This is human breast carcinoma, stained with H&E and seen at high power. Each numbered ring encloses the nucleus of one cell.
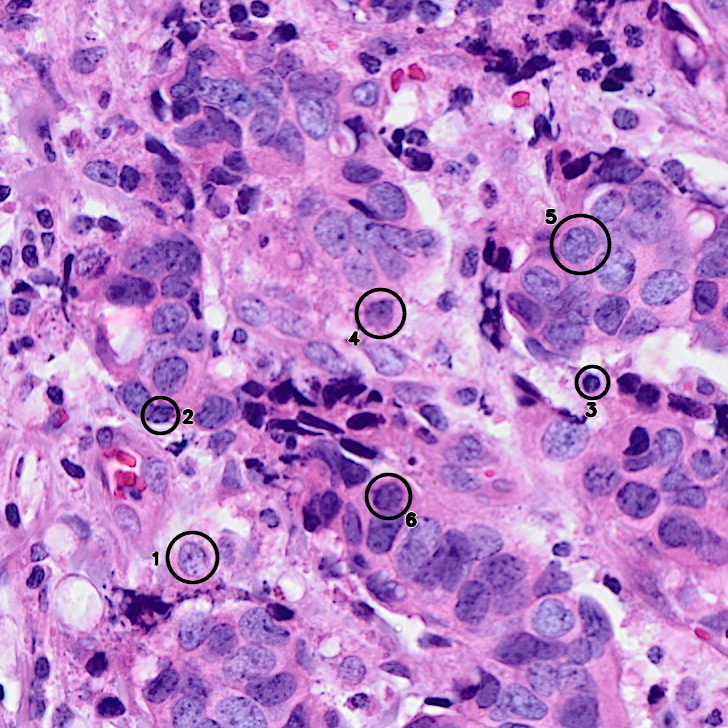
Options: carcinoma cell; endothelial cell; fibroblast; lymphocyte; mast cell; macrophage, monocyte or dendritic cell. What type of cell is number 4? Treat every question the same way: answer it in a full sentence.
Numbered cell 4 is a carcinoma cell in this tissue section.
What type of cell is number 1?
Belonging to a macrophage, monocyte or dendritic cell is the nucleus that carries the number 1.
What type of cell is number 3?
Denoted by the label 3 in the section is a lymphocyte.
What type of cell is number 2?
As for number 2, that cell is a carcinoma cell.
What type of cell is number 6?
The identity of cell 6 is that of a carcinoma cell.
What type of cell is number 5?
The cell assigned the number 5 is a carcinoma cell.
